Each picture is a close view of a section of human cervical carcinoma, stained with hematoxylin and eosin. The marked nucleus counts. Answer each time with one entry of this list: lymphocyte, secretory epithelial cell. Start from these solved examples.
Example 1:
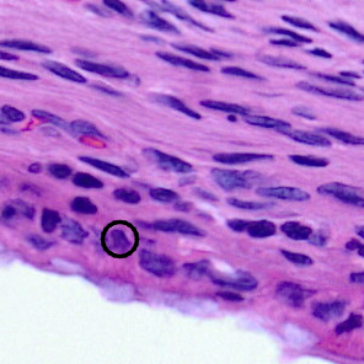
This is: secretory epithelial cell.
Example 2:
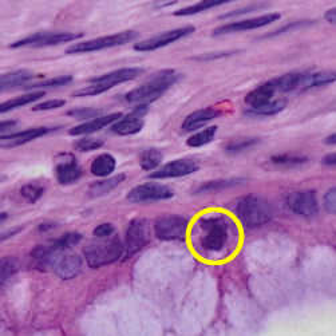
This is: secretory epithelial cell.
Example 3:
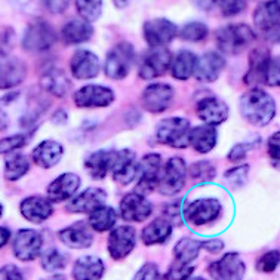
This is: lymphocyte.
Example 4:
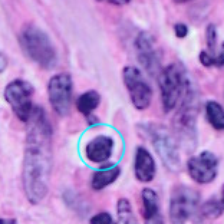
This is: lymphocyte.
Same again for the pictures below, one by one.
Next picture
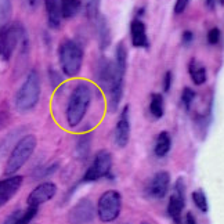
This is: secretory epithelial cell.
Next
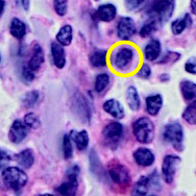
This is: lymphocyte.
